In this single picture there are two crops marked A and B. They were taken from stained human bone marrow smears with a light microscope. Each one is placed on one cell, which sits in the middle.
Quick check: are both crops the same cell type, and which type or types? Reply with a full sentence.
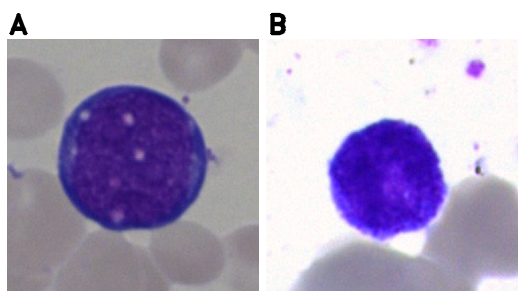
No, while a blast is found in crop A, a lymphocyte is found in crop B.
